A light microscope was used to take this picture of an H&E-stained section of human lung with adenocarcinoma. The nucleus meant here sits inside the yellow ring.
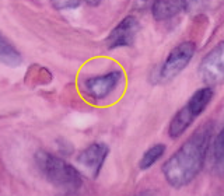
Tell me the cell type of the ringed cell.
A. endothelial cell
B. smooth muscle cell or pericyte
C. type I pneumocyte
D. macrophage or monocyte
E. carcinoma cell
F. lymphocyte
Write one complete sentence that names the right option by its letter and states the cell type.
Option A names it right: the ringed cell is an endothelial cell.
